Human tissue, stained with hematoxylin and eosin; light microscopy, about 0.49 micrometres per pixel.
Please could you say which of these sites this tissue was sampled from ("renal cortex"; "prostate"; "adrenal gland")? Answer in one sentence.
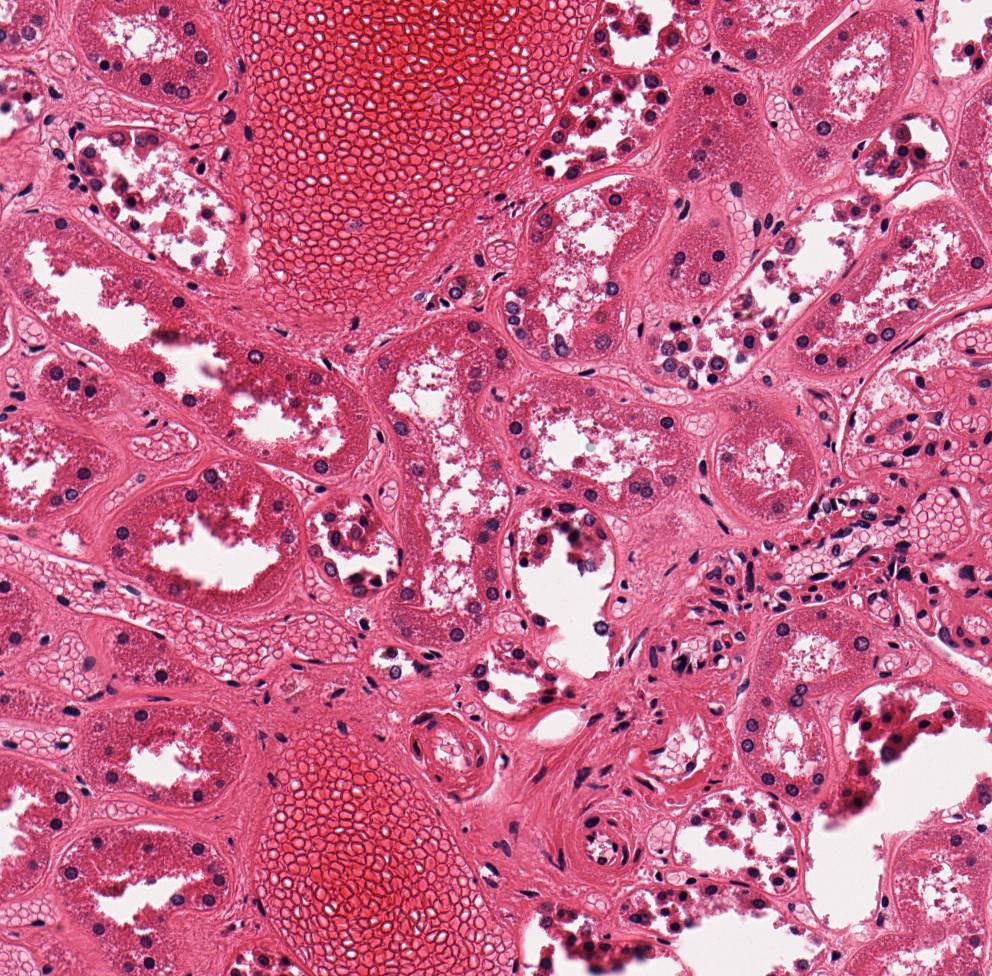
The site this tissue was sampled from is the renal cortex.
